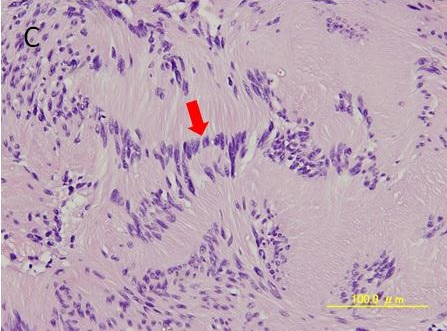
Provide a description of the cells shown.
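At high power, spindle-shaped Schwann cells with elongated, dark purple nuclei form a densely cellular tissue. Many nuclei line up side by side in parallel rows, like a fence. The rows are separated by broad, pale pink, fibrillar zones that contain almost no nuclei. The cytoplasm of the cells is pale pink and drawn out, blending with the fibrillar material. These palisading rows of nuclei around nucleus-free zones are Verocay bodies of the compact tissue pattern.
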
